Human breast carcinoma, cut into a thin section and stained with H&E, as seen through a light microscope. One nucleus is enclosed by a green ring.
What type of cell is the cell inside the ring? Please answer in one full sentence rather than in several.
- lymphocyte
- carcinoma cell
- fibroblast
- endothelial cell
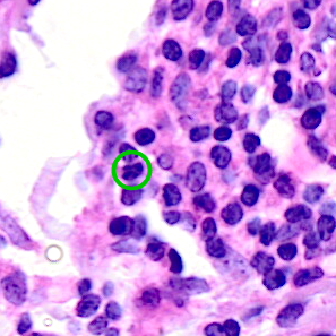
Within this tissue, the cell inside the ring is a lymphocyte.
